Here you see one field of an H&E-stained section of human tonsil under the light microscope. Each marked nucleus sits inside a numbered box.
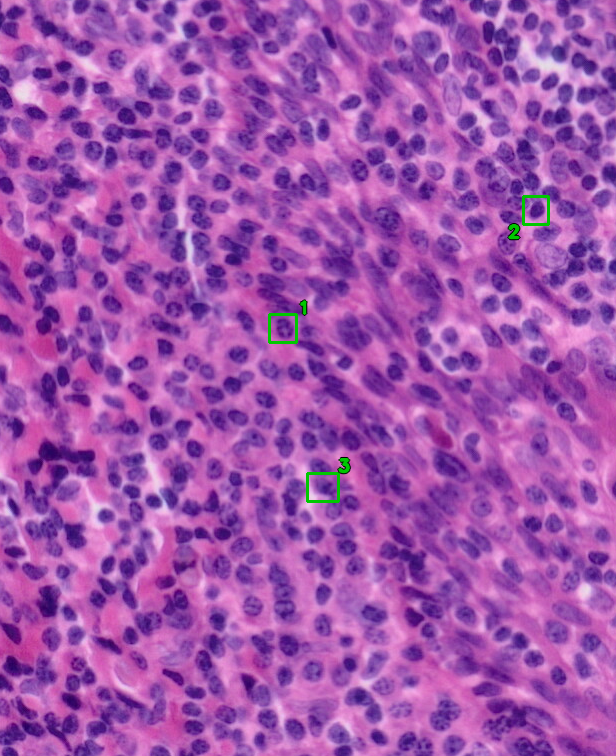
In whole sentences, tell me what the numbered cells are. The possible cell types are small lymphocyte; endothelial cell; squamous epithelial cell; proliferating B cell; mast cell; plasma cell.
Cell 1 is a plasma cell, cell 2 is a small lymphocyte and cell 3 is a plasma cell.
